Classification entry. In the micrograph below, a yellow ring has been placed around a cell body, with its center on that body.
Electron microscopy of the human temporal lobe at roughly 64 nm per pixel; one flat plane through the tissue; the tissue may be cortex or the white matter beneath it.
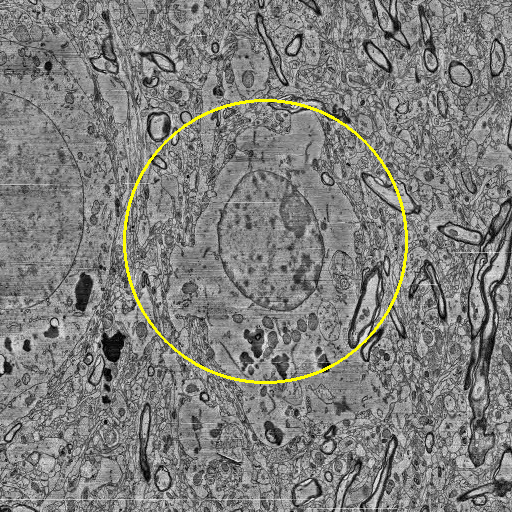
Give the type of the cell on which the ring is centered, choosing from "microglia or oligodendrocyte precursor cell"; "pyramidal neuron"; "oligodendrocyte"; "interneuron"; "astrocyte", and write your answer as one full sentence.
The cell body at the center of the yellow ring belongs to an astrocyte.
